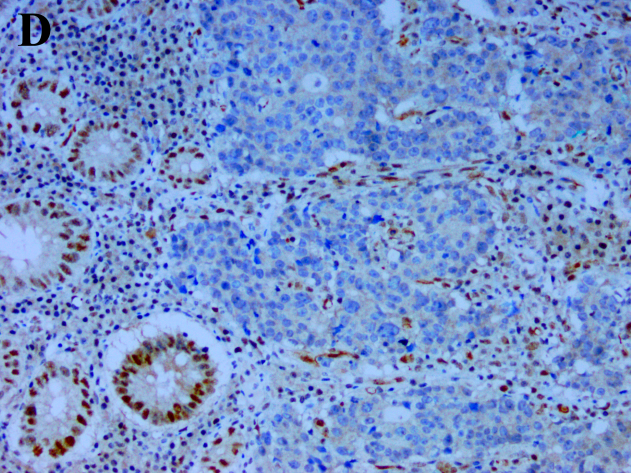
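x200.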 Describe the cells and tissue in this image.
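Two kinds of epithelium lie side by side. At lower left, round glands lined by regular columnar cells with pale mucin cups have a neat ring of brown-stained nuclei; small brown nuclei also dot the stroma and inflammatory cells around them. To the right and above, sheets of larger, crowded tumour cells with oval nuclei form vague glandular spaces, and their nuclei are blue, lacking the brown stain. The normal enterocytes, lymphocytes and stromal cells thus stain, while the colorectal carcinoma nuclei do not.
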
